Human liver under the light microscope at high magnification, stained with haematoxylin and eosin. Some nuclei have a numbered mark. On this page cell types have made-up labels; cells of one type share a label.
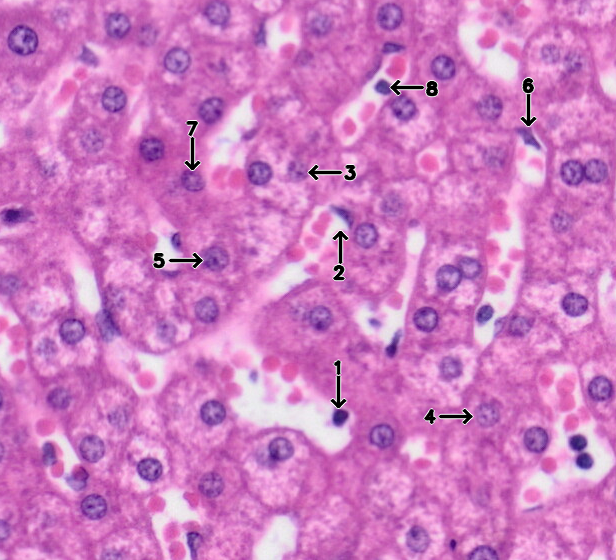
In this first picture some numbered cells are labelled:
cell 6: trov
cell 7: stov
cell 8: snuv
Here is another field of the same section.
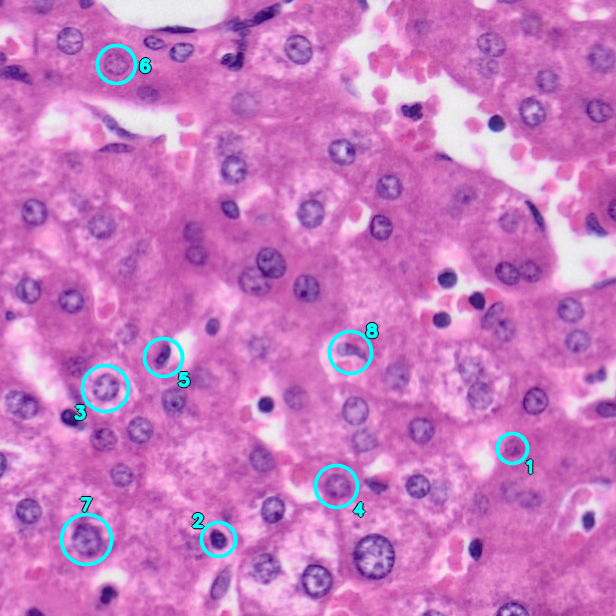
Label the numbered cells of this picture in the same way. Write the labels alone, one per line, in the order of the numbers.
stov
snuv
stov
stov
trov
stov
stov
trov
